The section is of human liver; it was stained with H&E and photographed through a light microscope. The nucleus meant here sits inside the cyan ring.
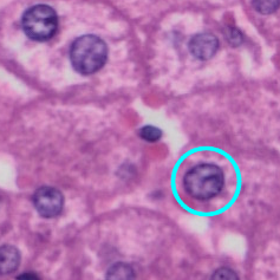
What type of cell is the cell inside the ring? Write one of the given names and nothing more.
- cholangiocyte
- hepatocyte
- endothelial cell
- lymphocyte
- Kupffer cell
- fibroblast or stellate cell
hepatocyte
